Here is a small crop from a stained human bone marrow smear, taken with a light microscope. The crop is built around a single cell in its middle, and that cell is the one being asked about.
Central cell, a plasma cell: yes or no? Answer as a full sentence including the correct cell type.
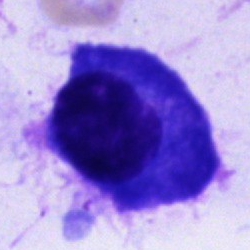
Yes, at the centre of the crop lies a plasma cell.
